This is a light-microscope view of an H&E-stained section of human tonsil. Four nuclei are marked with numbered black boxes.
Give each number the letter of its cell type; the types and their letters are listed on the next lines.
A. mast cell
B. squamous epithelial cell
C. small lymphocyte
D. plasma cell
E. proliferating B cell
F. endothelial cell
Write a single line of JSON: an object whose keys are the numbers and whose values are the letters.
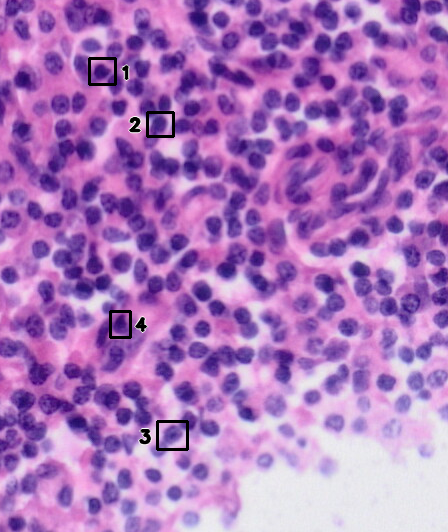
{"1": "C", "2": "C", "3": "C", "4": "F"}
